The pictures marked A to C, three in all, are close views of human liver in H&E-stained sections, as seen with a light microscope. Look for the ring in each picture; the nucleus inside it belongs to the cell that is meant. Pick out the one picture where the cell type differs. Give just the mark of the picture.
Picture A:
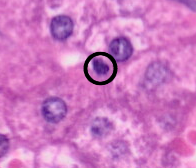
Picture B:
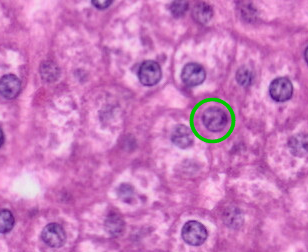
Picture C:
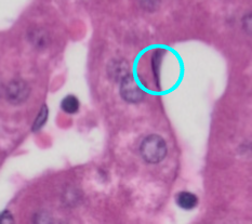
B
